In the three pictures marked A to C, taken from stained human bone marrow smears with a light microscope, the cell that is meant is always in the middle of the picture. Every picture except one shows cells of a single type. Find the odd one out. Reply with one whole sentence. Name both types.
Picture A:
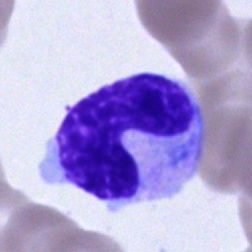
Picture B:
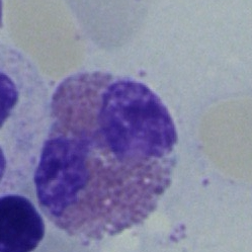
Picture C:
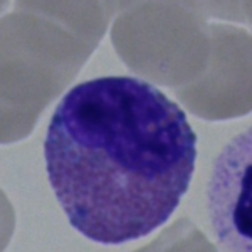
The different one is picture A; it shows a band neutrophil, whereas all the others show eosinophils.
